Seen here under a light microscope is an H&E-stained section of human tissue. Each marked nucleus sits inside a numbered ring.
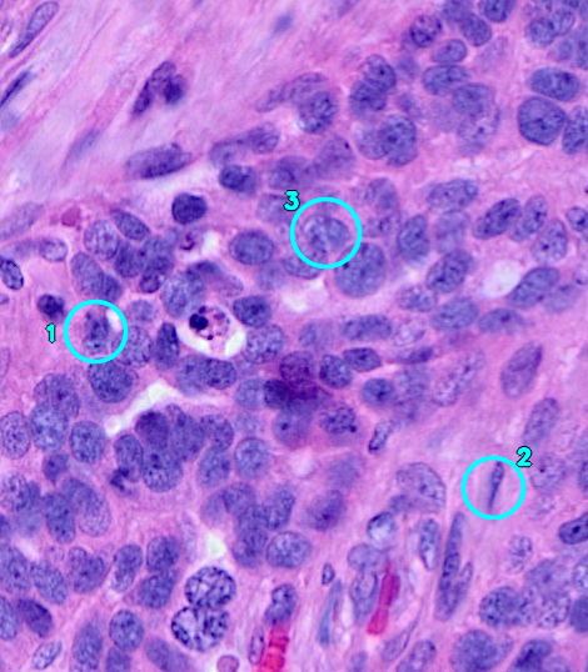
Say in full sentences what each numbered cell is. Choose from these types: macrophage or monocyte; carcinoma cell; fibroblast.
Cell 1 is a macrophage or monocyte. Cell 2 is a fibroblast. Cell 3 is a carcinoma cell.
